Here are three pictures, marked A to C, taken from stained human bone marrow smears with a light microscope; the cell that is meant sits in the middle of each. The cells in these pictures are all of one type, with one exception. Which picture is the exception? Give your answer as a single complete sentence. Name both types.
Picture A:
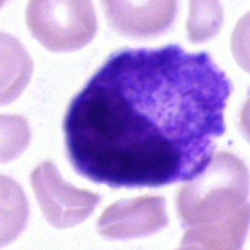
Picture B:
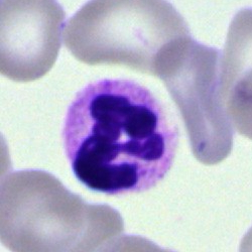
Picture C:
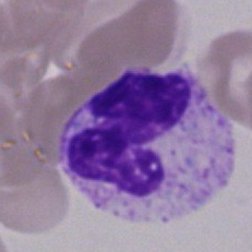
The different one is picture A; it shows a promyelocyte, whereas all the others show segmented neutrophils.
